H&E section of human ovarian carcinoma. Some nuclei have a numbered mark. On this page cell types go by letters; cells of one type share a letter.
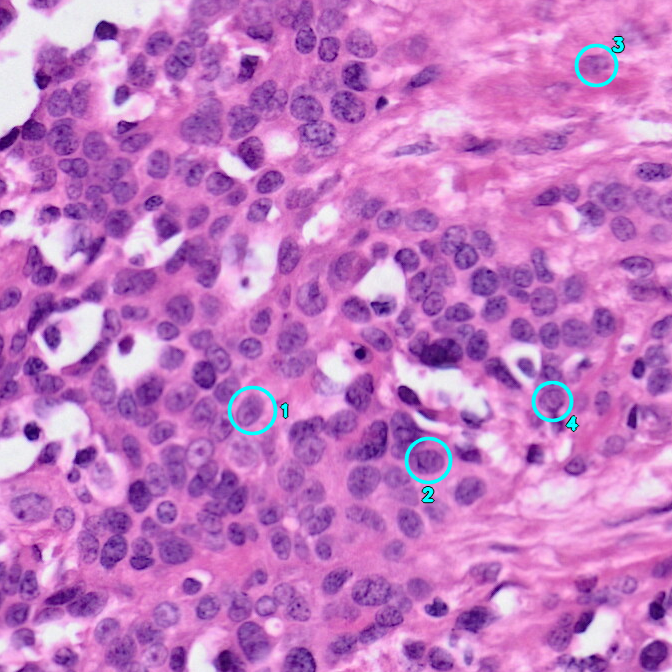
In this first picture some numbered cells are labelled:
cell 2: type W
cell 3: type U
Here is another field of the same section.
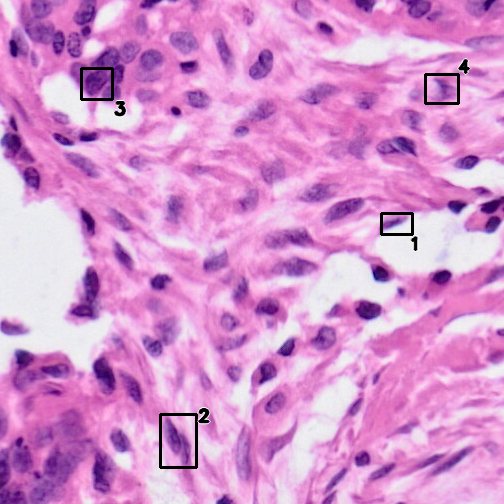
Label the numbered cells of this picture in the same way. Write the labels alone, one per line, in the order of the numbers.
type U
type U
type W
type U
